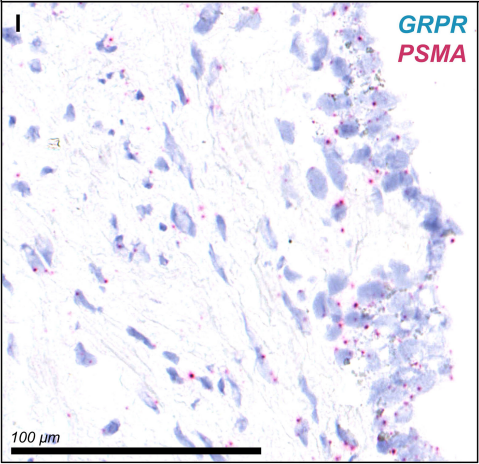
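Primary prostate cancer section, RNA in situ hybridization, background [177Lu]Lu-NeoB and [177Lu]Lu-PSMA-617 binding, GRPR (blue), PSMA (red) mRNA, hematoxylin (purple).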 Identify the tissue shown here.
Non-tumor tissue.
